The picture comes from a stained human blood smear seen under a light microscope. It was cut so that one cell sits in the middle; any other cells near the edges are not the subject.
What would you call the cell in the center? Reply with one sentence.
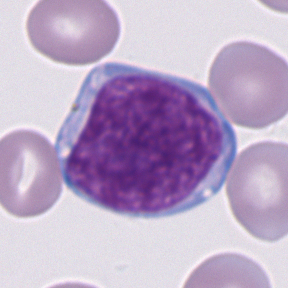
The cell shown in the center of this light-microscope crop is a myeloblast.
